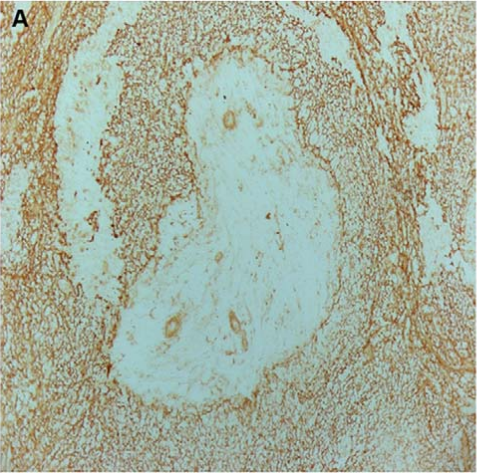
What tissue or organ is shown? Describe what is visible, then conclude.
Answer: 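A large pale rounded nodule of lymphoid tissue is surrounded by densely stained tissue. Small cross-cut arterioles lie within the pale nodule.
Answer: spleen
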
